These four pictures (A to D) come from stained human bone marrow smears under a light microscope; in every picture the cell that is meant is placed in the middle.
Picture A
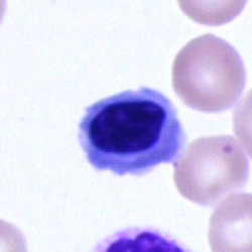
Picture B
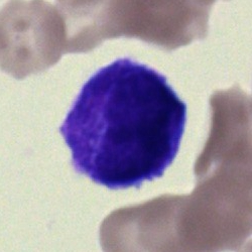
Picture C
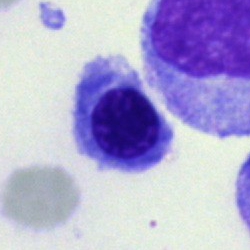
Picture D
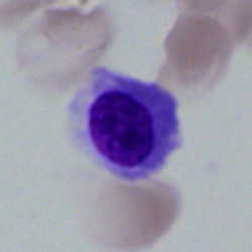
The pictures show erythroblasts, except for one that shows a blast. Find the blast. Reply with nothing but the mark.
B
